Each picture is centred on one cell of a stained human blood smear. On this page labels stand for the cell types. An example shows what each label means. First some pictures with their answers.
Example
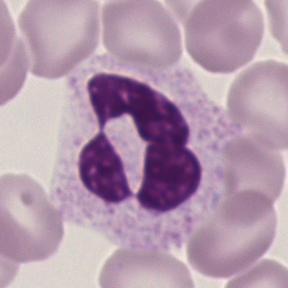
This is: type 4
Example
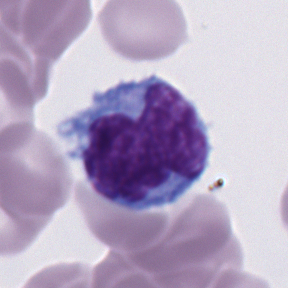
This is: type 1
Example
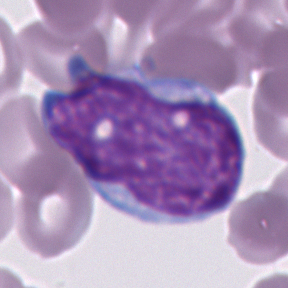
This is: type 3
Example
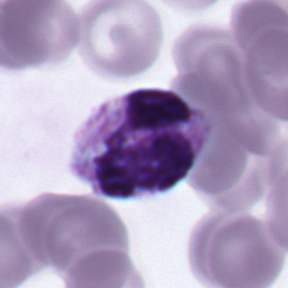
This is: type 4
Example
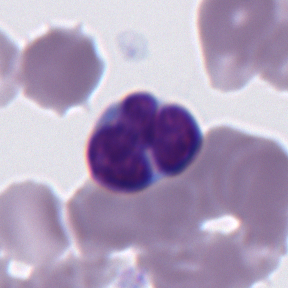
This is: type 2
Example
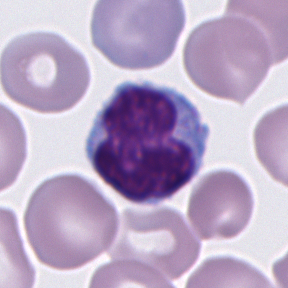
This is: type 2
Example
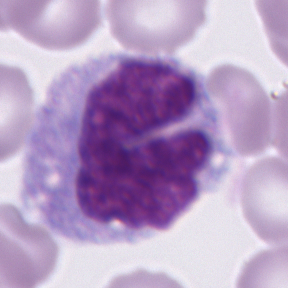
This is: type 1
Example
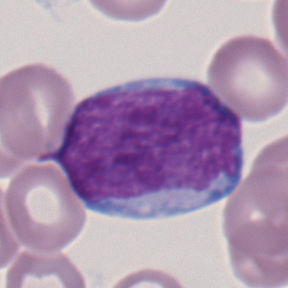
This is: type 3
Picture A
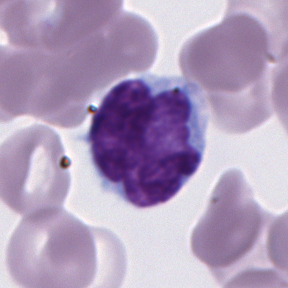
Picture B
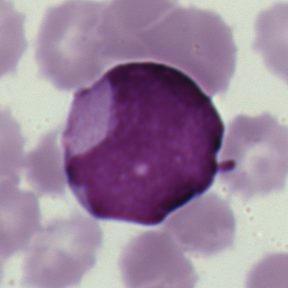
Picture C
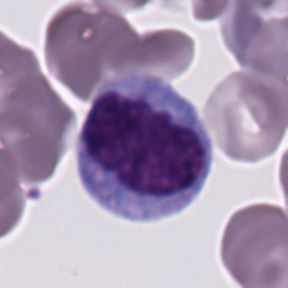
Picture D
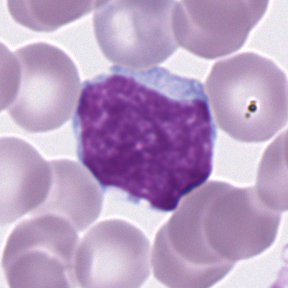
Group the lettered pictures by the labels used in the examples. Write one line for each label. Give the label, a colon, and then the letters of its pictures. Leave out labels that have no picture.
type 1: C
type 3: B
type 2: A, D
